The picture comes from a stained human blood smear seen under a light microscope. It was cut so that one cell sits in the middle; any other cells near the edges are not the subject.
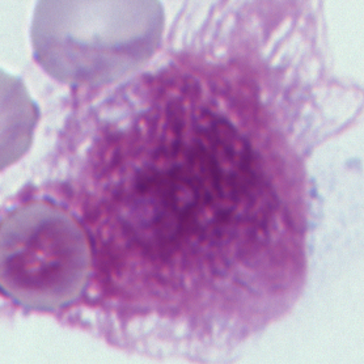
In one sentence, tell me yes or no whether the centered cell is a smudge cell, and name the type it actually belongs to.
Yes, the cell centred in this crop is a smudge cell.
